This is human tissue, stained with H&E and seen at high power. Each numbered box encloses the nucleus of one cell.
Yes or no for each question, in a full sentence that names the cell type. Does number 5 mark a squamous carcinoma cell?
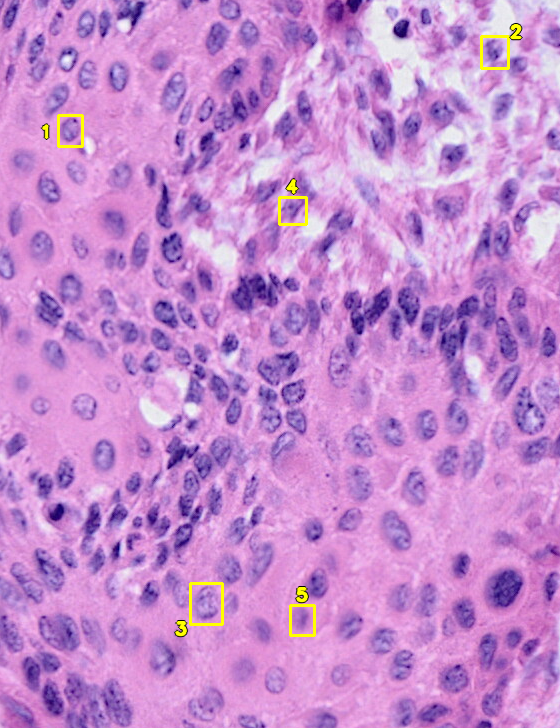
Yes, that one, number 5, is a squamous carcinoma cell.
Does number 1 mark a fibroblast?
No, the cell indicated by 1 is a squamous carcinoma cell instead of a fibroblast.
